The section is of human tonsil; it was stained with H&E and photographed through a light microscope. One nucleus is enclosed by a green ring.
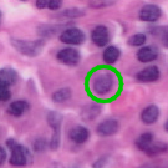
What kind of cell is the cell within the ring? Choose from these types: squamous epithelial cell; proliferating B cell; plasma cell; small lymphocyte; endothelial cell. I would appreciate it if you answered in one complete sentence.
In this field of tissue, the cell within the ring is a plasma cell.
